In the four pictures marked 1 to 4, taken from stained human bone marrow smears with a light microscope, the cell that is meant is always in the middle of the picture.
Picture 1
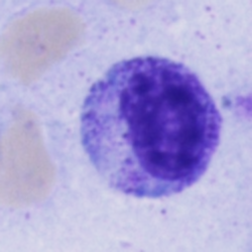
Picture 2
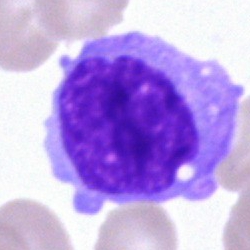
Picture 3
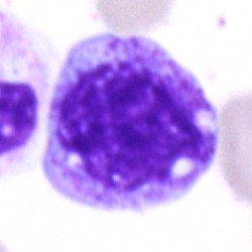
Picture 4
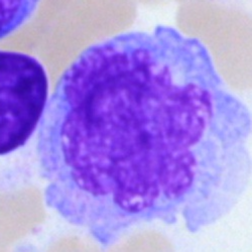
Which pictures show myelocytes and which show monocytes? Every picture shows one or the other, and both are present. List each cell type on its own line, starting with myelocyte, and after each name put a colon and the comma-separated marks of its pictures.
myelocyte: 1, 3
monocyte: 2, 4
